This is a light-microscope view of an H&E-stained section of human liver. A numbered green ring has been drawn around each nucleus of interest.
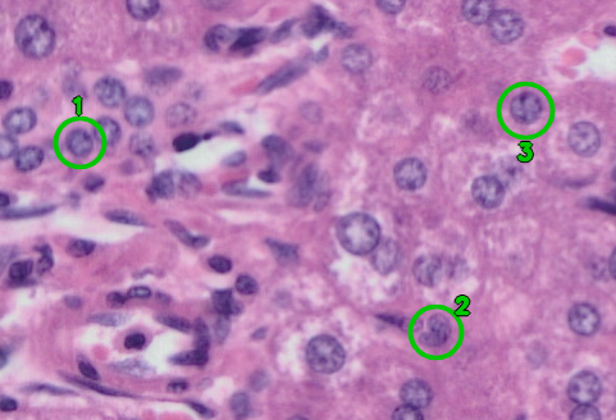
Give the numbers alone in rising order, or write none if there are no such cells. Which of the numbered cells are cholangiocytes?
1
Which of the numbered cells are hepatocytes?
3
